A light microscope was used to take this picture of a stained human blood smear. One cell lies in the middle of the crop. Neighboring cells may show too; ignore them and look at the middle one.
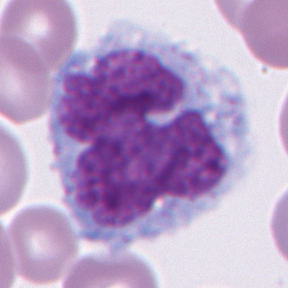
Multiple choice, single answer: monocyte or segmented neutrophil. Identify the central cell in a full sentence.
The centrally placed cell is classified as a monocyte.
